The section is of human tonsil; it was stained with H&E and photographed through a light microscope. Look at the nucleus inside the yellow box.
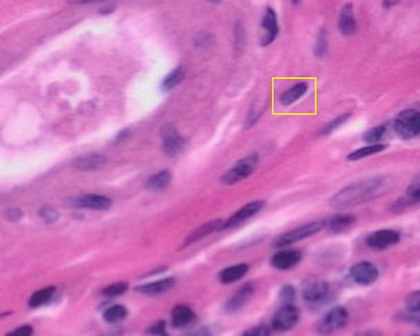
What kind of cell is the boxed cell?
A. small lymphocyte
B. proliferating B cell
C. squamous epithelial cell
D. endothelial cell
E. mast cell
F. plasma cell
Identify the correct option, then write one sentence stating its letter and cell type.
The statement that the boxed cell is a mast cell corresponds to option E, the correct one.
